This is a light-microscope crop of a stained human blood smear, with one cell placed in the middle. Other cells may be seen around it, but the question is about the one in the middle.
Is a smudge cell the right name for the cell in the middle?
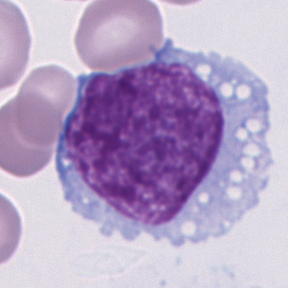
no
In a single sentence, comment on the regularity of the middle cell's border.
Its surface contour departs from smoothness through ragged edges or outward projections.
